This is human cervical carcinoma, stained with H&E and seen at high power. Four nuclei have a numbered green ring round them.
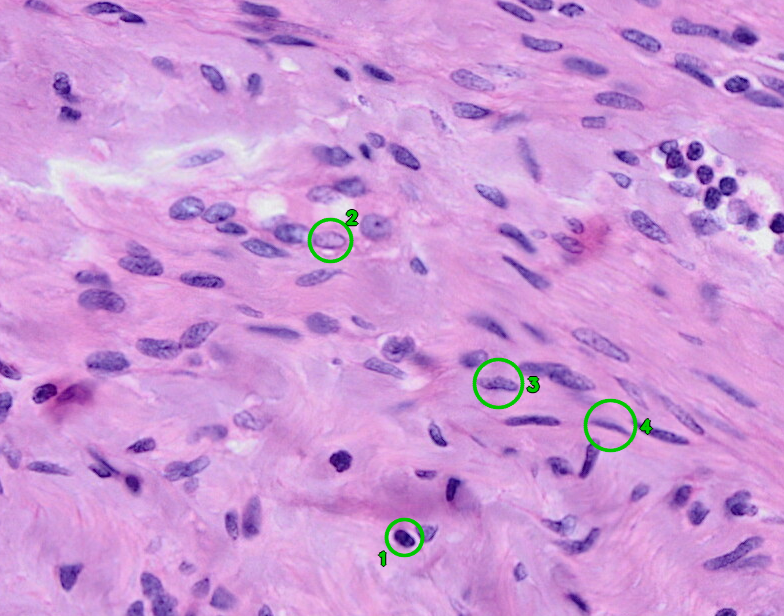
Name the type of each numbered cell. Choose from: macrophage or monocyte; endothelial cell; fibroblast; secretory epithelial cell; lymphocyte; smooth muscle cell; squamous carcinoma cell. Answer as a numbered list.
1. lymphocyte
2. endothelial cell
3. fibroblast
4. fibroblast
